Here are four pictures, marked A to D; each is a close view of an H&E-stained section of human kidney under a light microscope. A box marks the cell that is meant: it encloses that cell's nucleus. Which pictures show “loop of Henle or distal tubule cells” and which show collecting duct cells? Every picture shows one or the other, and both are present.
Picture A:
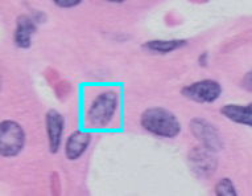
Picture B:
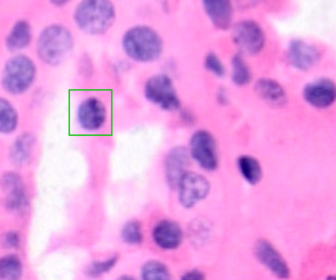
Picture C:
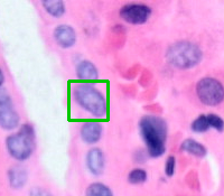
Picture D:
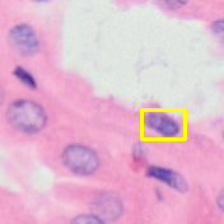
A: collecting duct cell
B: collecting duct cell
C: collecting duct cell
D: loop of Henle or distal tubule cell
